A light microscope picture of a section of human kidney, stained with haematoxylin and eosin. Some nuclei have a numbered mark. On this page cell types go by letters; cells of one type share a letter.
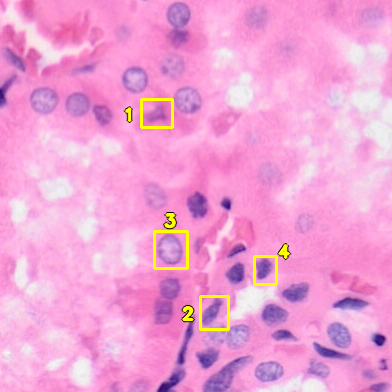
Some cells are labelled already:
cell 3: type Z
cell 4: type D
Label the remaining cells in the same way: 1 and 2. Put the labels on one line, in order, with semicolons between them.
type Z; type D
